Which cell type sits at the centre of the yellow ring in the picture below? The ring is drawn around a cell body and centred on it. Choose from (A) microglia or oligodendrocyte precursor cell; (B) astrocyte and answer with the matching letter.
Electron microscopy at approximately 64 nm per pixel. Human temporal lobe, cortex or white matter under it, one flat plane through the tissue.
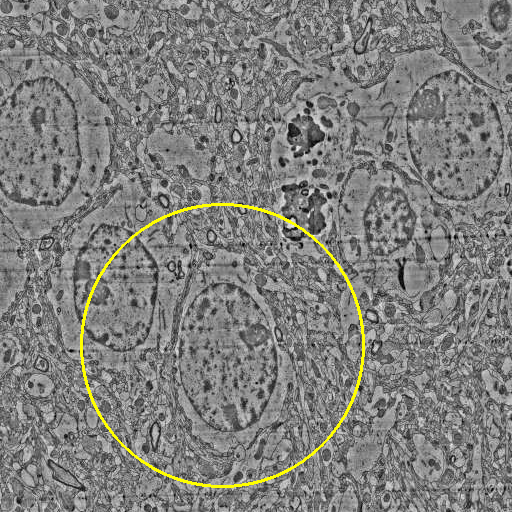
B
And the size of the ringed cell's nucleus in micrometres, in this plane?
At approximately 9 by 6 micrometres, the nucleus is clearly longer than it is wide in this plane.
